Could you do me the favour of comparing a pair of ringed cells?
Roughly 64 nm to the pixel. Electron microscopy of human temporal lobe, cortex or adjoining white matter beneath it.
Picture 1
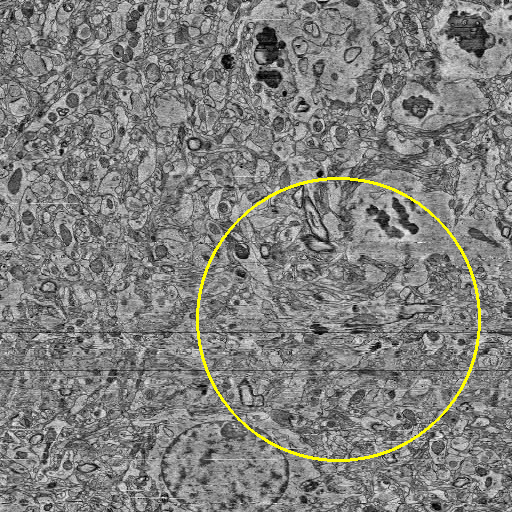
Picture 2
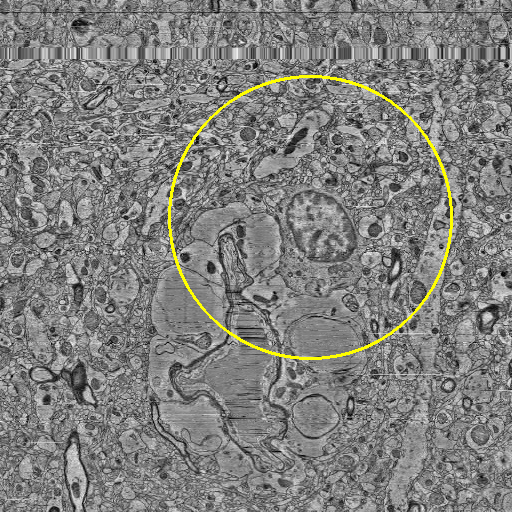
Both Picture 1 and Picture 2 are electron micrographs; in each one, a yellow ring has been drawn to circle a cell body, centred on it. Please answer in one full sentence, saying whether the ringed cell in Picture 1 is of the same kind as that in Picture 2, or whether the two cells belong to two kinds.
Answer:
The ringed cell in Picture 1 is of the same kind as that in Picture 2.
